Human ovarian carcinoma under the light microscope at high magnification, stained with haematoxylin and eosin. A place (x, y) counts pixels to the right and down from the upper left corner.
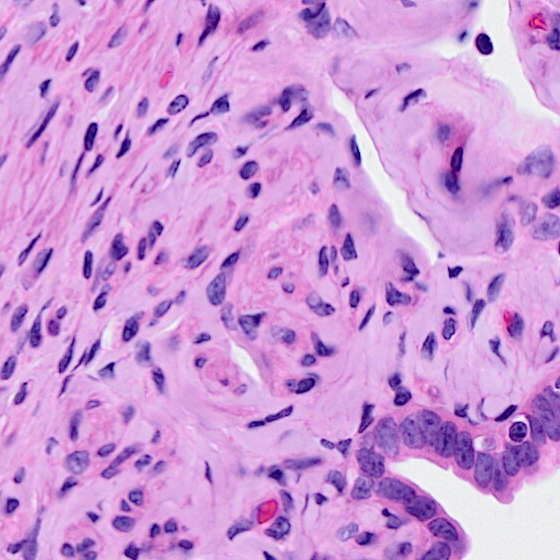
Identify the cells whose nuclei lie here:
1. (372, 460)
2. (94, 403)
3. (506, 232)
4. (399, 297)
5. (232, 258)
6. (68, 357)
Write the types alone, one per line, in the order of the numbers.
carcinoma cell
smooth muscle cell
endothelial cell
endothelial cell
smooth muscle cell
fibroblast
